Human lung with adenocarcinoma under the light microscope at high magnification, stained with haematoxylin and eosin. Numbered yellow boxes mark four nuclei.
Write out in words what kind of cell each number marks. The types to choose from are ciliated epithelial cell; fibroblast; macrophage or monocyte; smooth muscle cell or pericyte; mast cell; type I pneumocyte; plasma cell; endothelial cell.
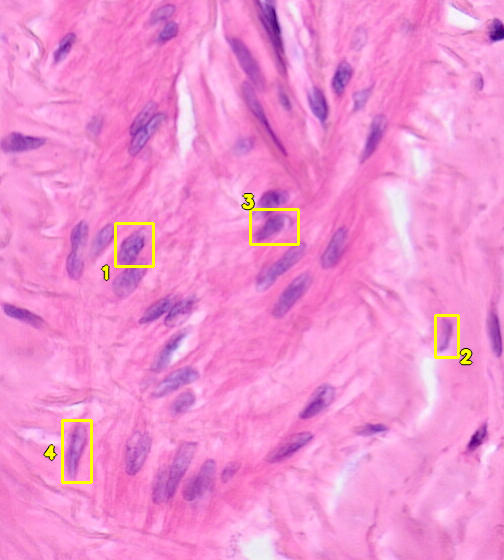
Cells 1, 3 and 4 are smooth muscle cells or pericytes. Cell 2 is a fibroblast.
